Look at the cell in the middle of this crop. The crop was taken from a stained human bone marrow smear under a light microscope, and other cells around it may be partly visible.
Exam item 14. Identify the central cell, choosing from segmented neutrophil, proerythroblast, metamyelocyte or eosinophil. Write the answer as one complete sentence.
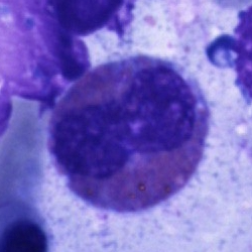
The central element of this crop is a cell, namely an eosinophil.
